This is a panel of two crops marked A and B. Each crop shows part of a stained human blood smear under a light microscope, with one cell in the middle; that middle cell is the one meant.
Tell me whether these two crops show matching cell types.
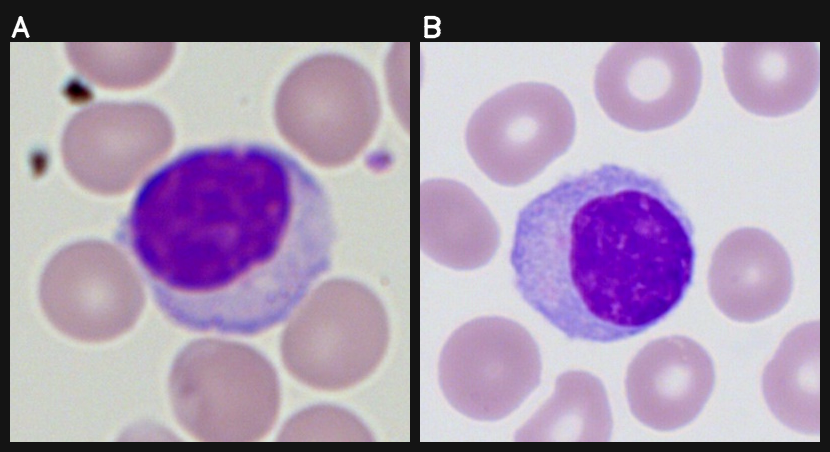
yes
